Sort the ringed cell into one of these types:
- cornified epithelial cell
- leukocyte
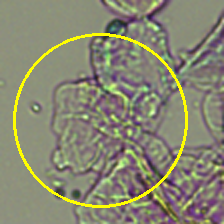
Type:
cornified epithelial cell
